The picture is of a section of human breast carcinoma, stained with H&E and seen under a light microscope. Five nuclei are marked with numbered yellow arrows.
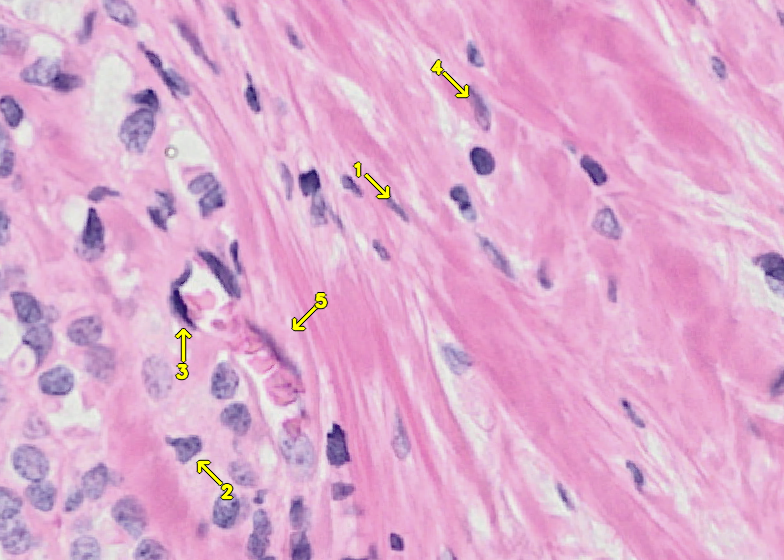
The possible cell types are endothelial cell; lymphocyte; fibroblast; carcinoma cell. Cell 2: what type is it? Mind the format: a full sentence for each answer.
The cell tagged with 2 in this tissue section is a lymphocyte.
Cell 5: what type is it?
Among the marked nuclei, number 5 belongs to an endothelial cell.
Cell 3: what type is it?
What the number 3 marks in this field is an endothelial cell.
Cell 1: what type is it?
Numbered cell 1 is a fibroblast in this tissue section.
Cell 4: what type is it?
The cell assigned the number 4 is a fibroblast.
